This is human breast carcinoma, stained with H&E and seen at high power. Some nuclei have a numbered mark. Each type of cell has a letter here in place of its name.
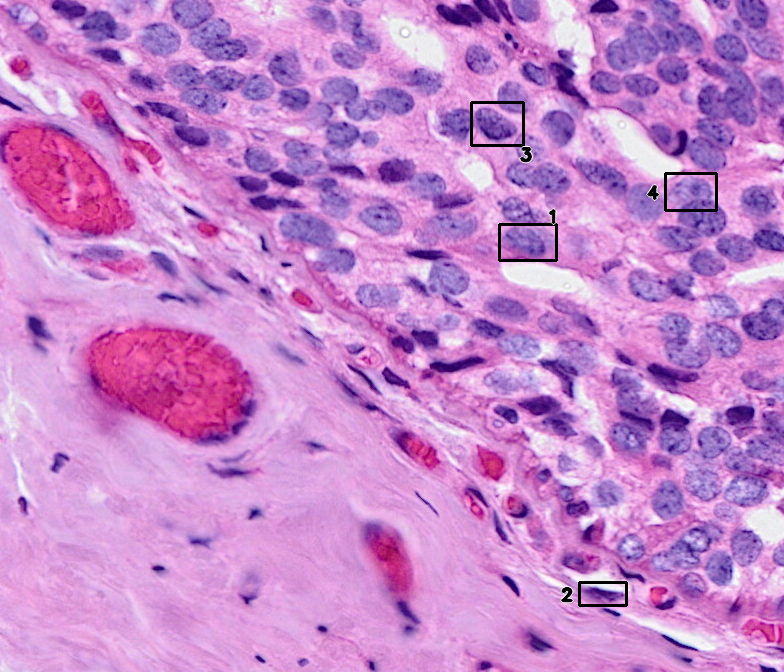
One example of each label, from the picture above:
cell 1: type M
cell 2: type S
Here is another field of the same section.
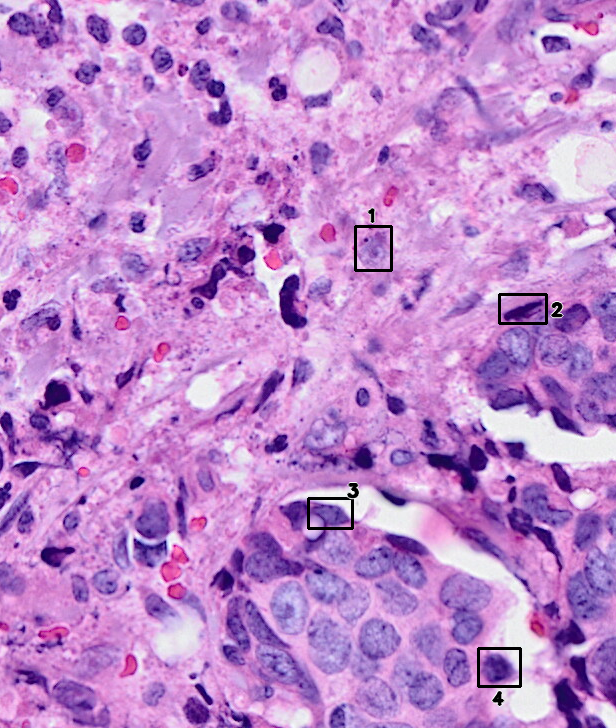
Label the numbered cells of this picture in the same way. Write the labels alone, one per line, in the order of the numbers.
type S
type M
type M
type M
